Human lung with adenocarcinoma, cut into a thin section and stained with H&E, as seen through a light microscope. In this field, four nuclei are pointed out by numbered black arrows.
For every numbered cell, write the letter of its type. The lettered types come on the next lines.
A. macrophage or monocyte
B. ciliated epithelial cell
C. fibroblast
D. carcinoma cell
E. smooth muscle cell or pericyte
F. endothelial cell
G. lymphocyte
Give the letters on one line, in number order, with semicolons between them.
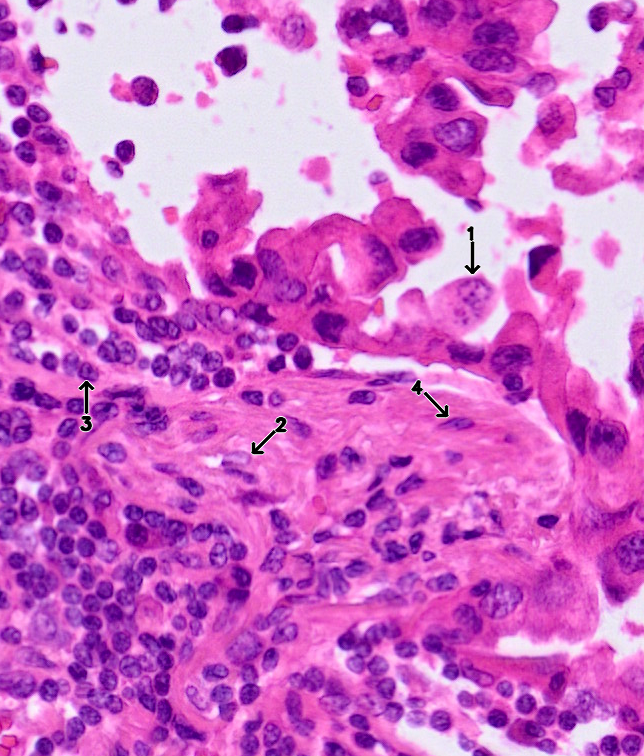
D; C; G; E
